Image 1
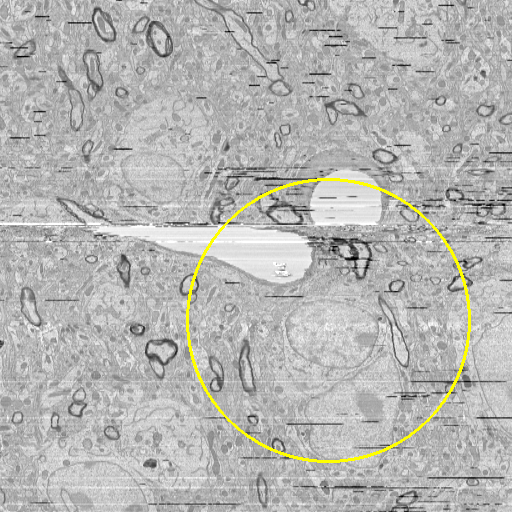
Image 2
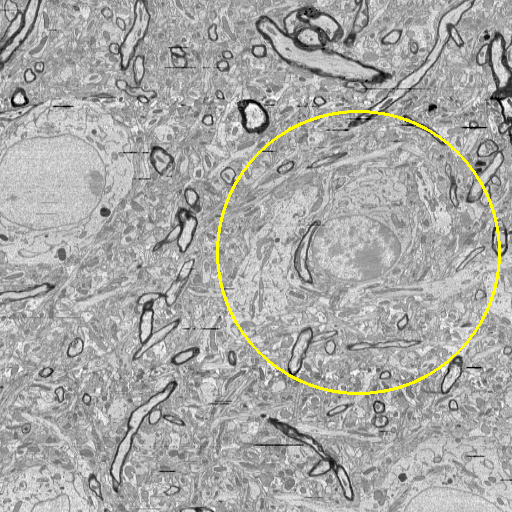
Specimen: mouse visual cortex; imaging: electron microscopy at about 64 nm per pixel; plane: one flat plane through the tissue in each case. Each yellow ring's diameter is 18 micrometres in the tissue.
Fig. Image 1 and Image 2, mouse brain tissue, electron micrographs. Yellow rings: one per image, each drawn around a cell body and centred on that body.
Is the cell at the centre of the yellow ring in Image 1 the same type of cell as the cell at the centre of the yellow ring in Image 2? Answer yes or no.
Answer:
yes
